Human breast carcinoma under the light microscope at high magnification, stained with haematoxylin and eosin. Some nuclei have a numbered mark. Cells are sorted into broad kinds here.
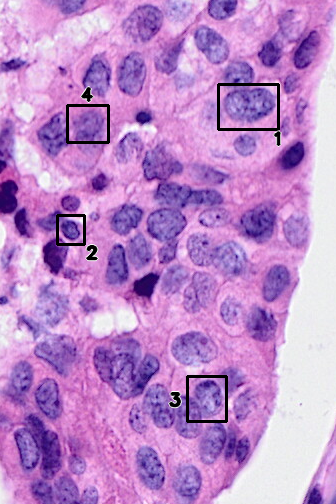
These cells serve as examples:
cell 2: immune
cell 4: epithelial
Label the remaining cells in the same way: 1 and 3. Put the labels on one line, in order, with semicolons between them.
epithelial; epithelial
